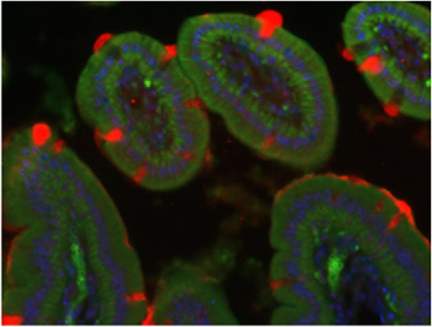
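Cross-sectioned small intestinal villi, each covered by a single layer of columnar epithelium outlined in green, with blue nuclei lined up in a row near the base of the epithelium and a loose core in the centre. Scattered single rounded red bodies, corresponding to goblet cells, sit at the luminal edge of the epithelium, and some red material bulges out beyond the surface into the lumen.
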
